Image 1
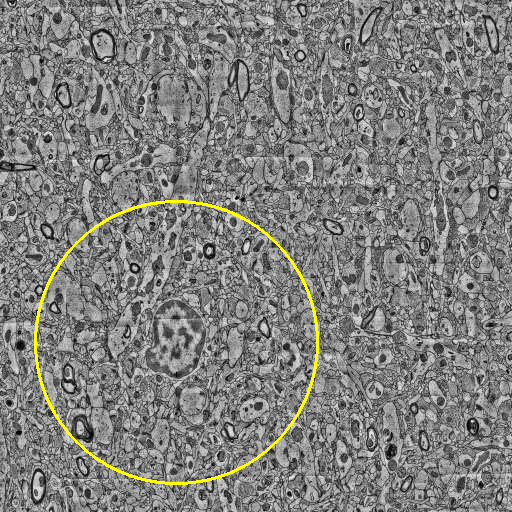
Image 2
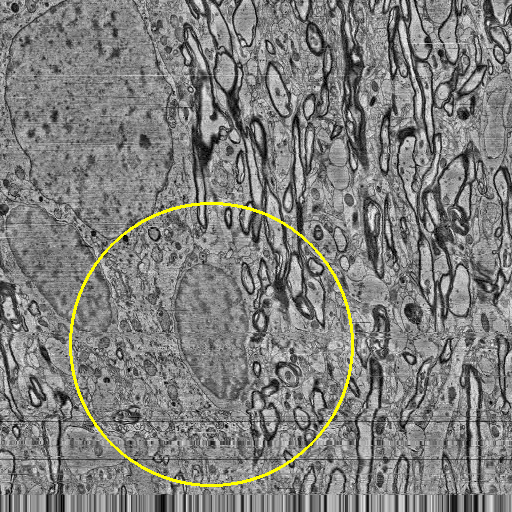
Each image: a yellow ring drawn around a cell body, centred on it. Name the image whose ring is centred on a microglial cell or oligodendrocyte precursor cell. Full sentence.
That is Image 1.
